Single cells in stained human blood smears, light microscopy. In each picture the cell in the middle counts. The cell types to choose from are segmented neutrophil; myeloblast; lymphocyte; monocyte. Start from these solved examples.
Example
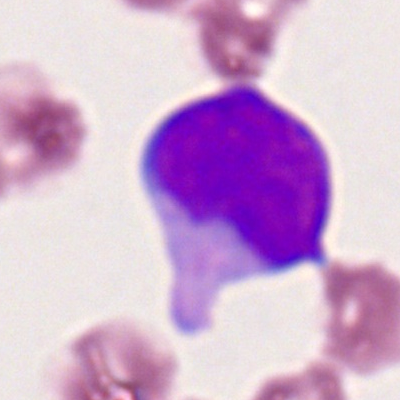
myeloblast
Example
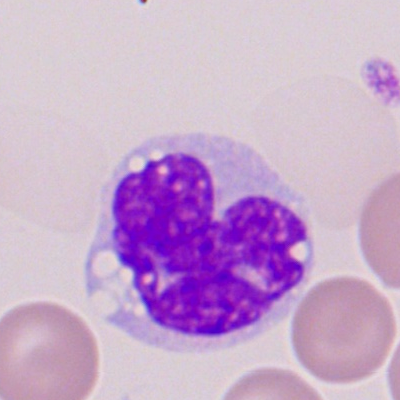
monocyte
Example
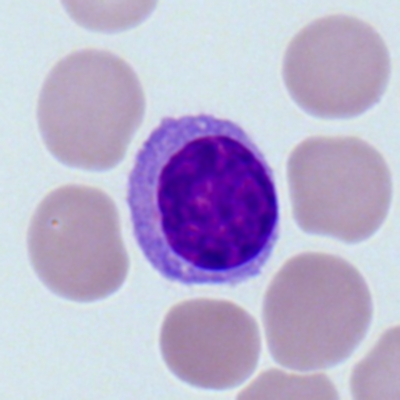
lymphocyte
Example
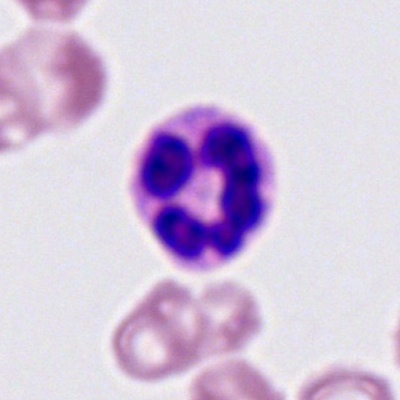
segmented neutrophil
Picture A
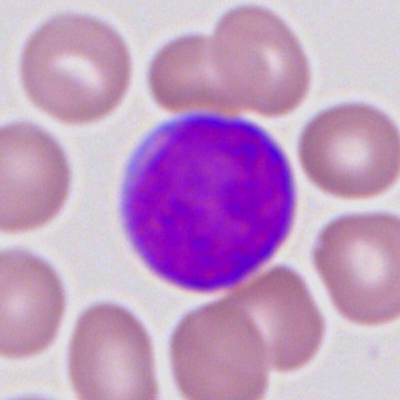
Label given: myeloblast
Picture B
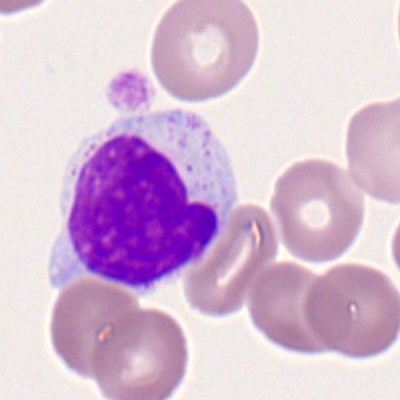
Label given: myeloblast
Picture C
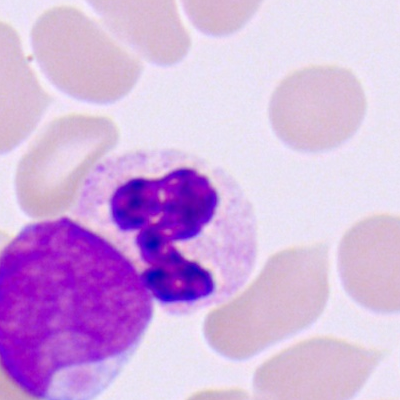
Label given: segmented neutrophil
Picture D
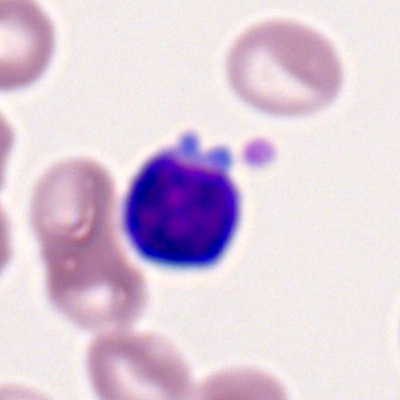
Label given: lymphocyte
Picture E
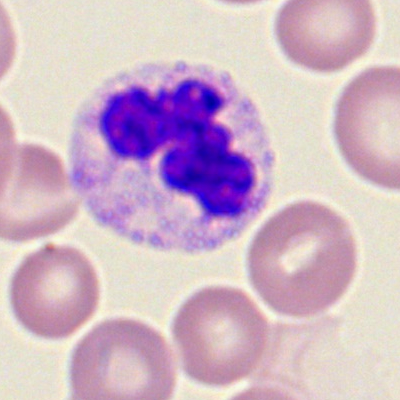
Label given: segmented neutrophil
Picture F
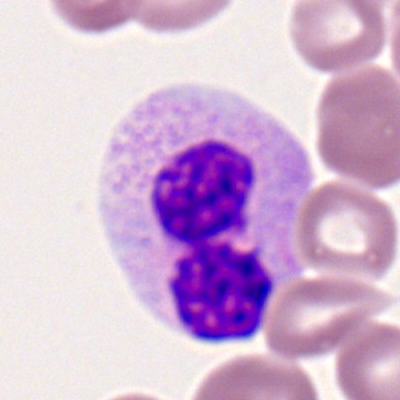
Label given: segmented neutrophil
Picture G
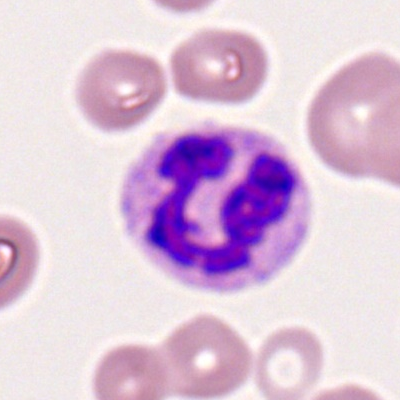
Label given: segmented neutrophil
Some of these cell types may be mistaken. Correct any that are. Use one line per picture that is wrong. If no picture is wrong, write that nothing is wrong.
B: lymphocyte, not myeloblast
